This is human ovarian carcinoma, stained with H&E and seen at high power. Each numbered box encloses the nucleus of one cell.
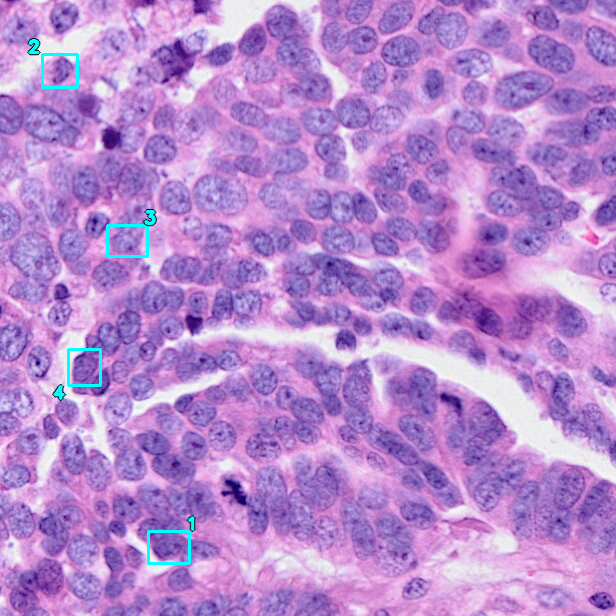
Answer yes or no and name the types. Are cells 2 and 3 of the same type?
No, the right answer is a macrophage or monocyte for cell 2 and a carcinoma cell for cell 3.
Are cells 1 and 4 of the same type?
Yes, both cell 1 and cell 4 count among the carcinoma cells.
